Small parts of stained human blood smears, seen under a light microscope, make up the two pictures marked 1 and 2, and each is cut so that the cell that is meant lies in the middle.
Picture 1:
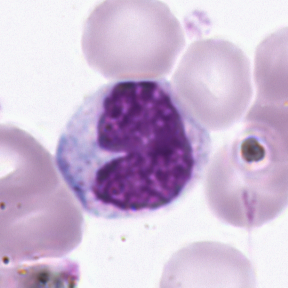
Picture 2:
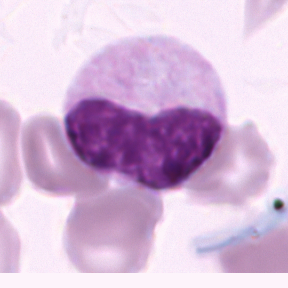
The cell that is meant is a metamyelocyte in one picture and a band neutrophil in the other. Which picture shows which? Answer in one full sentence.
It is picture 1 that shows a band neutrophil, and picture 2 that shows a metamyelocyte.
